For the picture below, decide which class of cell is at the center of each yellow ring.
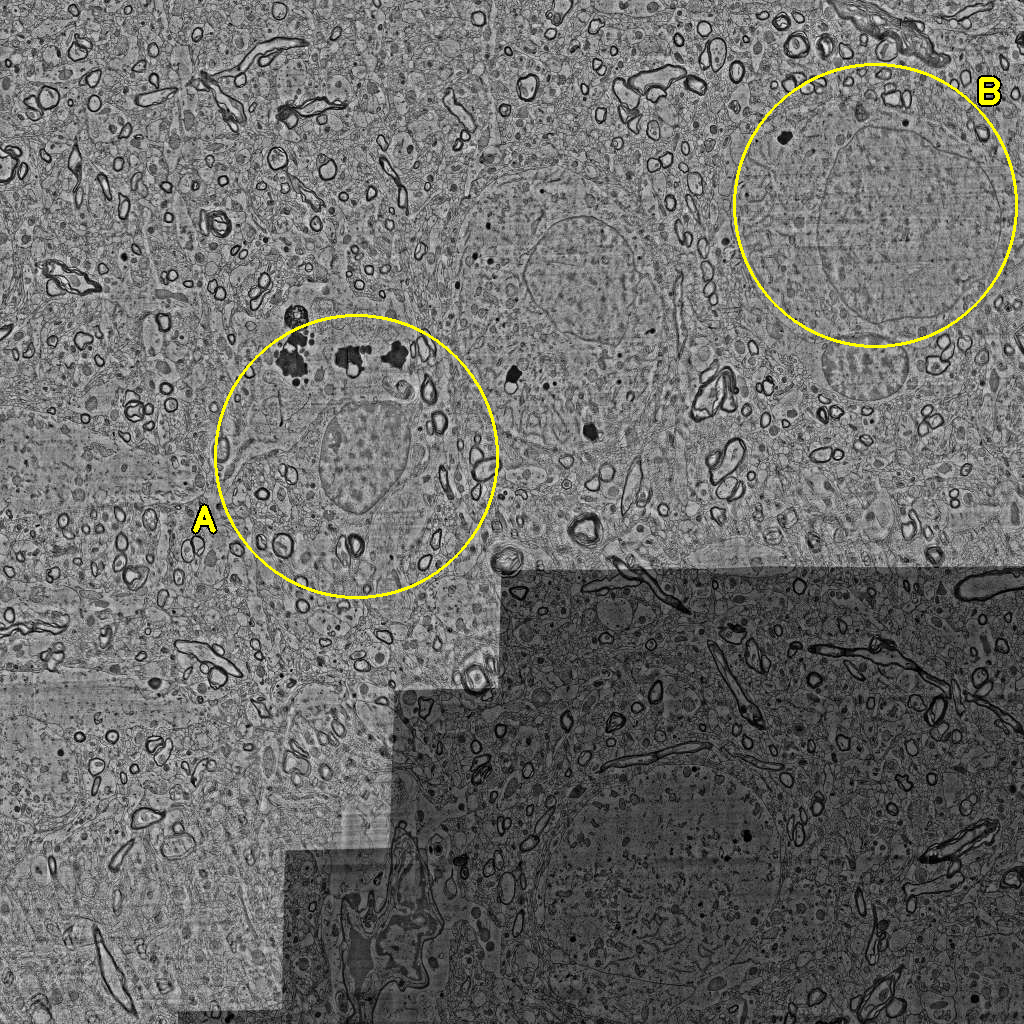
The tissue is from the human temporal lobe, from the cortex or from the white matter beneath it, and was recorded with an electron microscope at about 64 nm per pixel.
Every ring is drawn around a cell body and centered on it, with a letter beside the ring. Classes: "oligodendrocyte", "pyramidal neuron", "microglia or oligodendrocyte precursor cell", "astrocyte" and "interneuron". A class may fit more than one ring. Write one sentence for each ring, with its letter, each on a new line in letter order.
Centered in ring A is an oligodendrocyte.
Centered in ring B is a pyramidal neuron.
